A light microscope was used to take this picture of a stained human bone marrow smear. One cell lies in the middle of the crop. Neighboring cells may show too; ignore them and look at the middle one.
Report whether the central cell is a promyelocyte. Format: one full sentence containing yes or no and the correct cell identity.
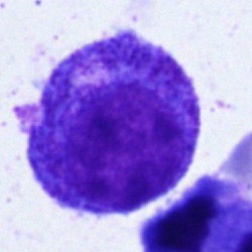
Yes, the cell at the middle of the frame is a promyelocyte.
